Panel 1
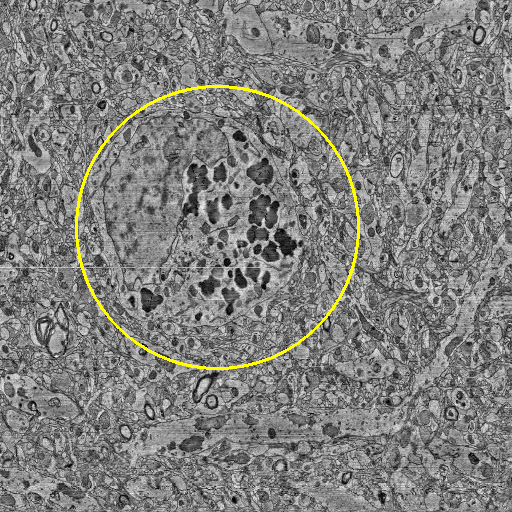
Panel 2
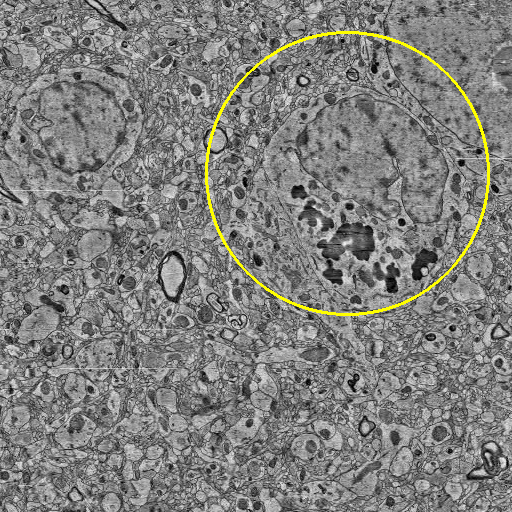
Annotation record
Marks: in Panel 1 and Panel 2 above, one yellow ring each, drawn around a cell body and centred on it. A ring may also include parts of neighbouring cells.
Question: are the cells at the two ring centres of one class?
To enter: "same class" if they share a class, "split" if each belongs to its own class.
same class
